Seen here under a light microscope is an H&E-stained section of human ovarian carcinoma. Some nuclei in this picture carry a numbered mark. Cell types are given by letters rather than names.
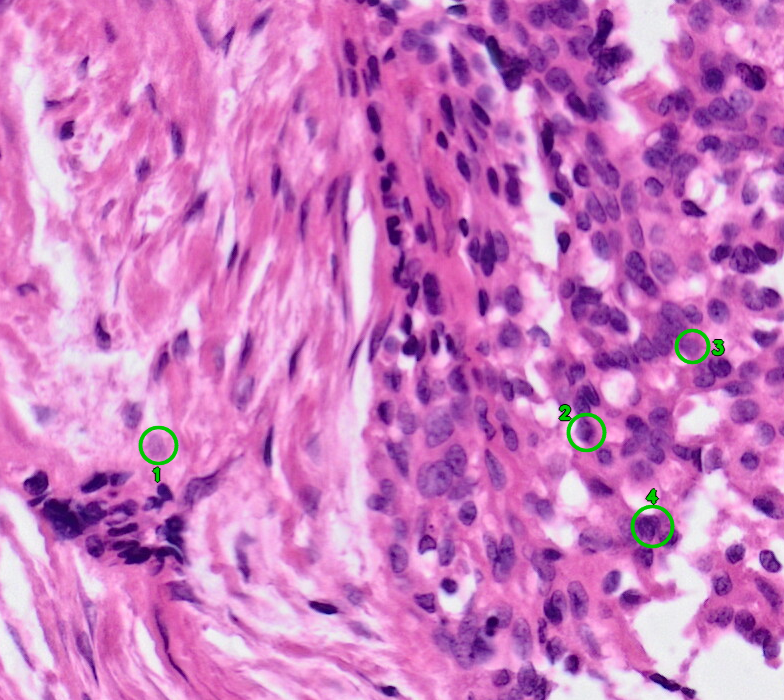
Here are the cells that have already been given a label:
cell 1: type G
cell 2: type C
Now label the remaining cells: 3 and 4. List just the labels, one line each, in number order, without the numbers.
type C
type C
